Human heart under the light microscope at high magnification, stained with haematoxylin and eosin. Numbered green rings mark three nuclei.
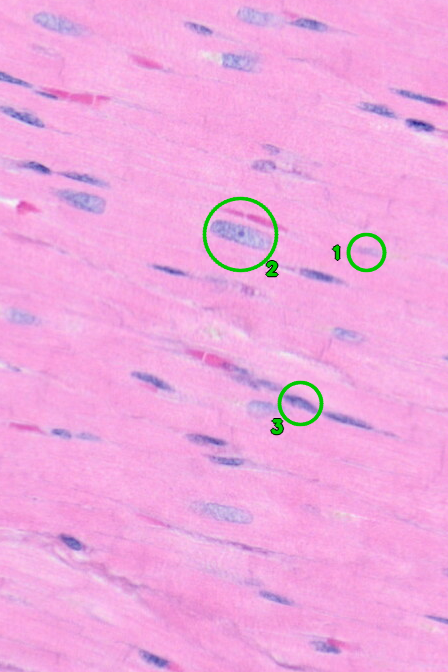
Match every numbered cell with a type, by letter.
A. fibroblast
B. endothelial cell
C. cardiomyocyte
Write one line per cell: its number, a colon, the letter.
1: C
2: C
3: A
